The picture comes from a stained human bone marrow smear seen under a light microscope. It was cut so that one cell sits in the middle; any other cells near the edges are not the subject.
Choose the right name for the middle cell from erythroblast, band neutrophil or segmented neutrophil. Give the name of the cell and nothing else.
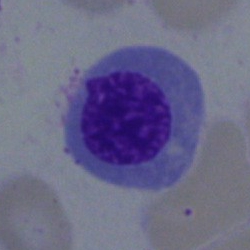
erythroblast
